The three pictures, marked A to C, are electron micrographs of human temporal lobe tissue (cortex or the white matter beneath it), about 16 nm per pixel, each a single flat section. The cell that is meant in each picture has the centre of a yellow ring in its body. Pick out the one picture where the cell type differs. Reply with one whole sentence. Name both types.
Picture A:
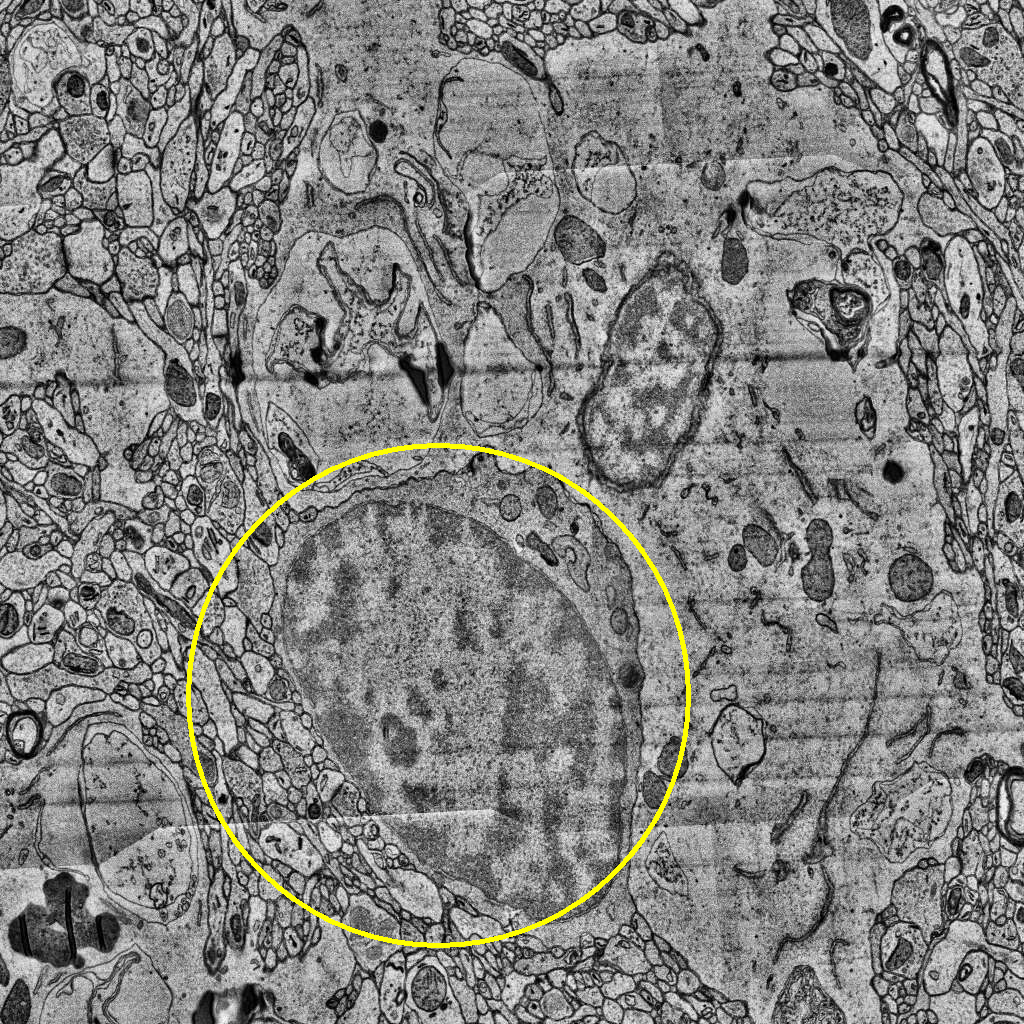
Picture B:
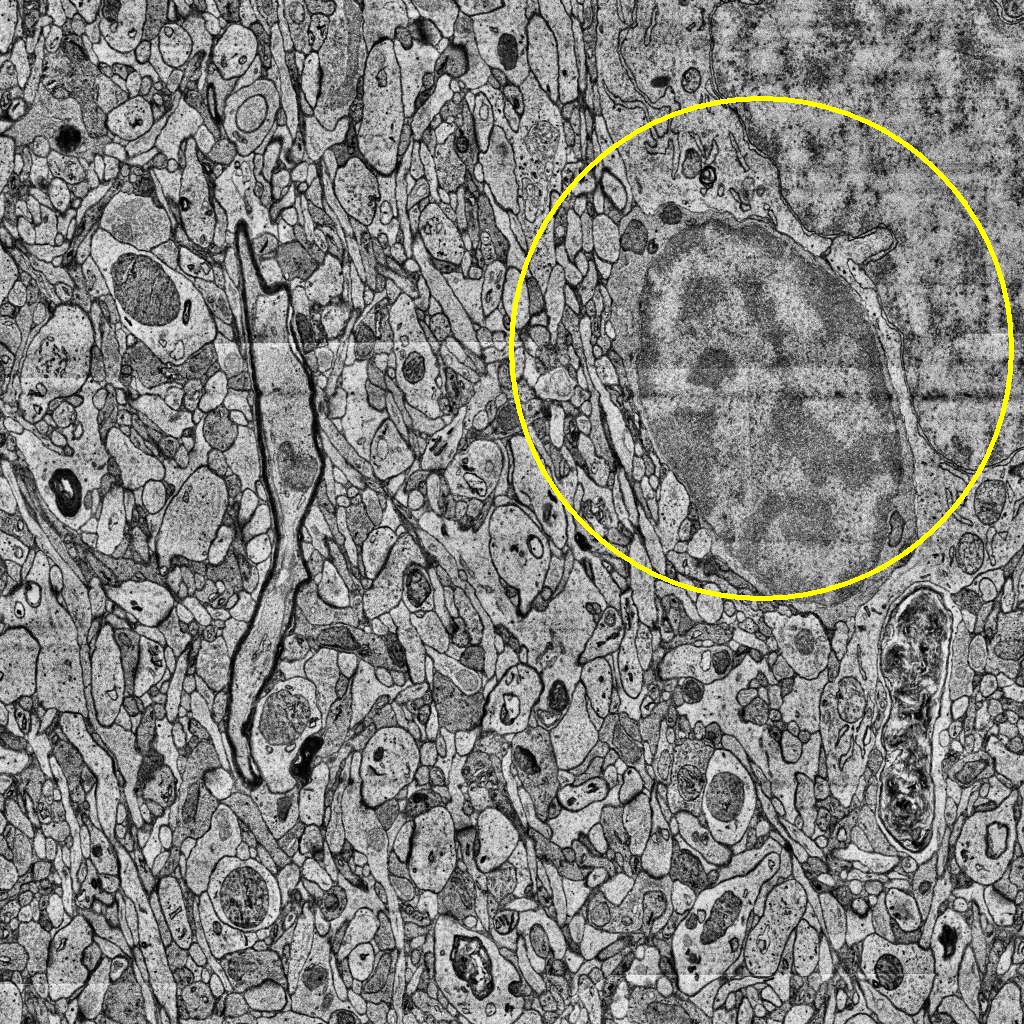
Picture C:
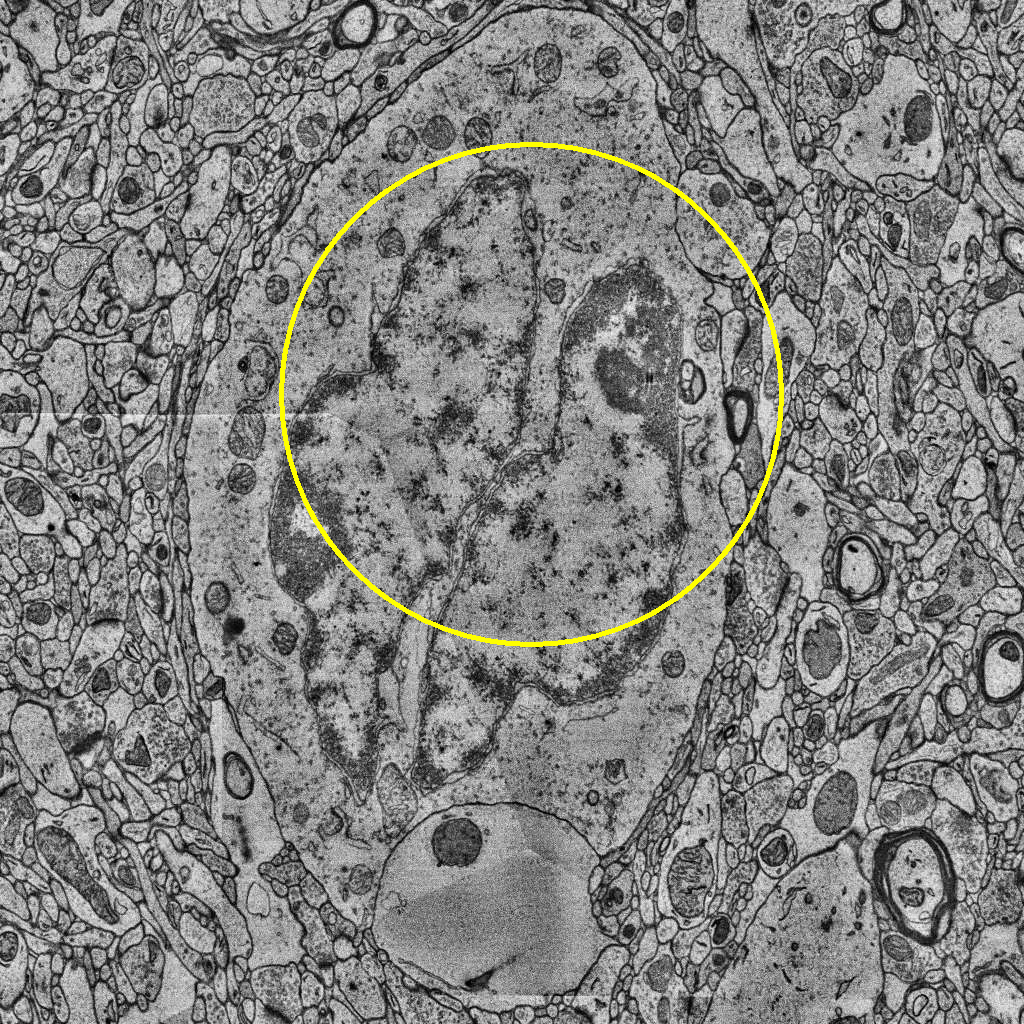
The different one is picture C; it shows an interneuron, whereas all the others show oligodendrocytes.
